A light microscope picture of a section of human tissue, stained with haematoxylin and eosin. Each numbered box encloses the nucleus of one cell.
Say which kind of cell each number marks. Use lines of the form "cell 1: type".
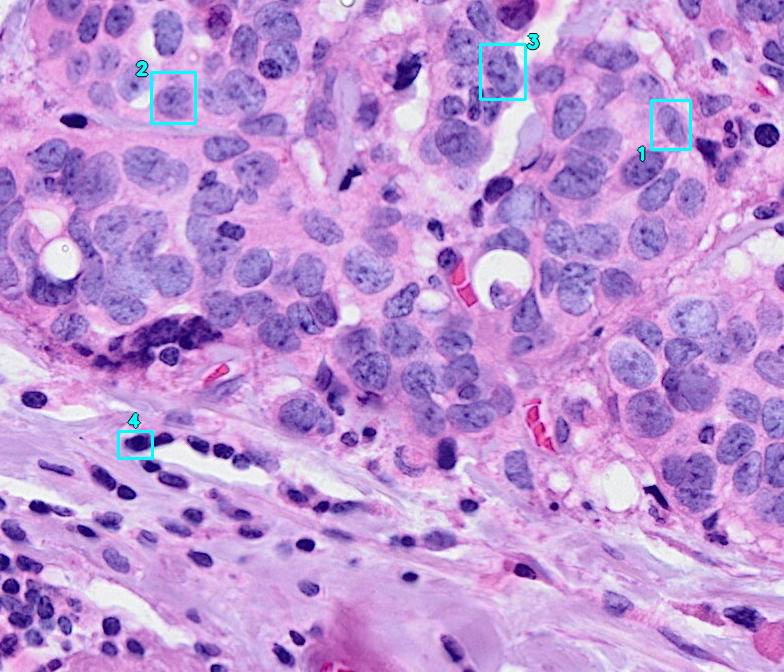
cell 1: carcinoma cell
cell 2: carcinoma cell
cell 3: carcinoma cell
cell 4: lymphocyte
